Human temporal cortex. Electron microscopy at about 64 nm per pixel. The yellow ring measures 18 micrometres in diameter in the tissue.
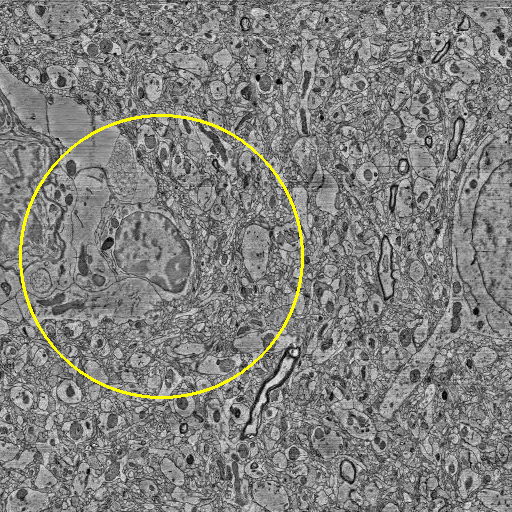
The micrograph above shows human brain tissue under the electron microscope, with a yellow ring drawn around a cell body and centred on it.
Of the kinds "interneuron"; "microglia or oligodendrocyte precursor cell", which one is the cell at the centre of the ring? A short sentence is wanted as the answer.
The one at the centre of the ring is a microglial cell or oligodendrocyte precursor cell.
